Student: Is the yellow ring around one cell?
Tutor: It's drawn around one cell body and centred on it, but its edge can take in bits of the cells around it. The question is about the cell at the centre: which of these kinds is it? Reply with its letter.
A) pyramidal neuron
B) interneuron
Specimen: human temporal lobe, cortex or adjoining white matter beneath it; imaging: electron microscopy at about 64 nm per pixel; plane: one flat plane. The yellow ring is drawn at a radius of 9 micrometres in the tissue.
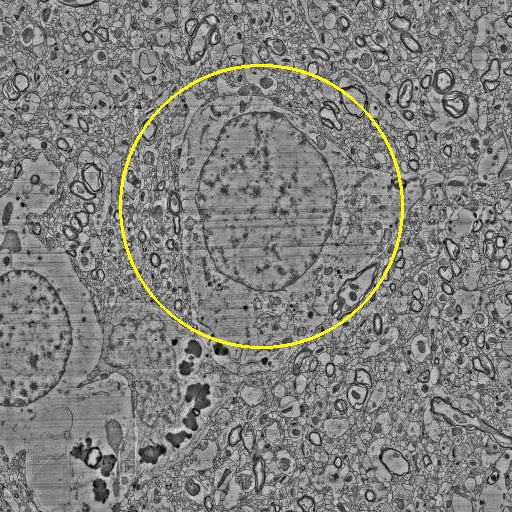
A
